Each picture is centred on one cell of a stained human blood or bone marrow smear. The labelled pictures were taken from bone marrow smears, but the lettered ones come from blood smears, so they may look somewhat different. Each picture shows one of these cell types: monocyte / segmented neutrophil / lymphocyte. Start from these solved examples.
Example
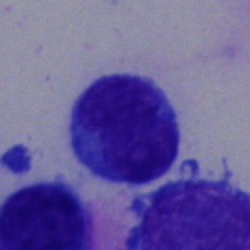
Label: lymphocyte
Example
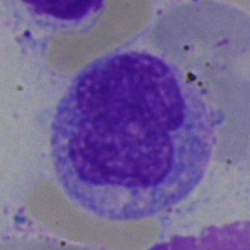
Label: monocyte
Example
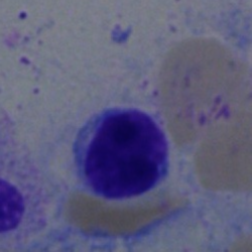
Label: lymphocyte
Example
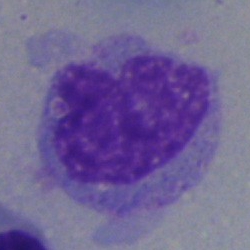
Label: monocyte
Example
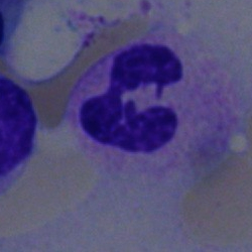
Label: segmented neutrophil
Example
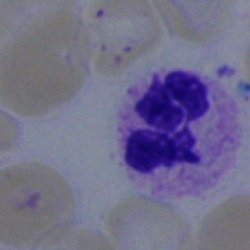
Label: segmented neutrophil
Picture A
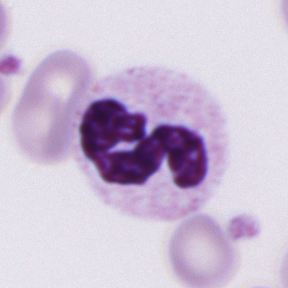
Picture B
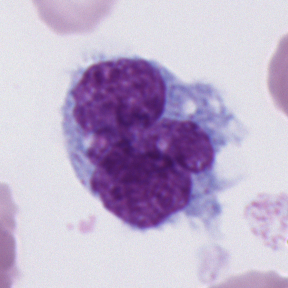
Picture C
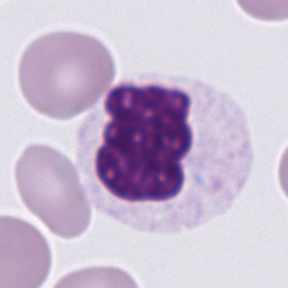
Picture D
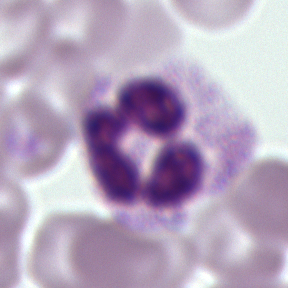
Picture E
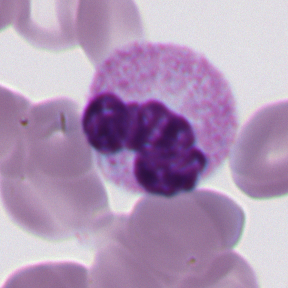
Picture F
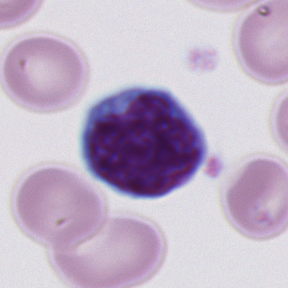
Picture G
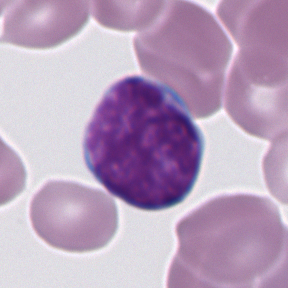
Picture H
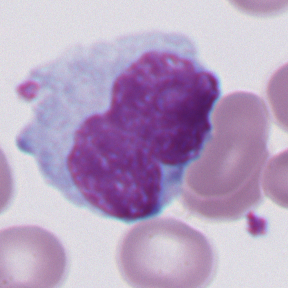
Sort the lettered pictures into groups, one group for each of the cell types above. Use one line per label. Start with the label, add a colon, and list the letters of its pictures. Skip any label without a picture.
monocyte: B, H
segmented neutrophil: A, C, D, E
lymphocyte: F, G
